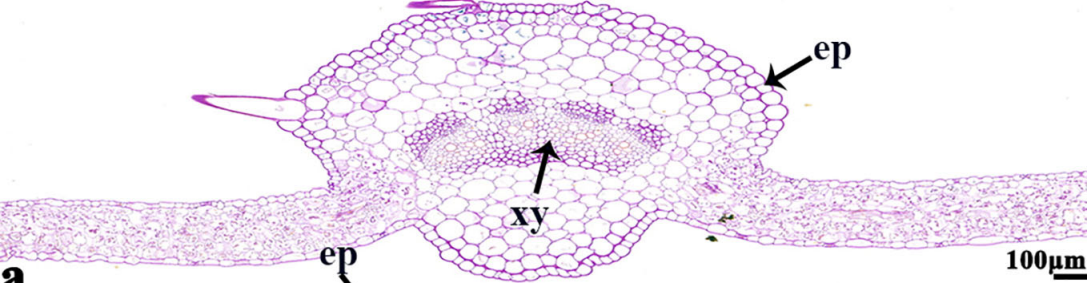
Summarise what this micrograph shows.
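A cross-section of a leaf through its main vein, which bulges strongly from the thin blade on either side. The vein is bounded by a single-layered epidermis of small, rounded cells with purple-stained walls, and a long unicellular hair projects from its left flank. Inside lies a broad ground tissue of large, rounded, thin-walled parenchyma cells that become smaller toward the surface. The adjoining blade is thin, with compact, smaller mesophyll cells.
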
